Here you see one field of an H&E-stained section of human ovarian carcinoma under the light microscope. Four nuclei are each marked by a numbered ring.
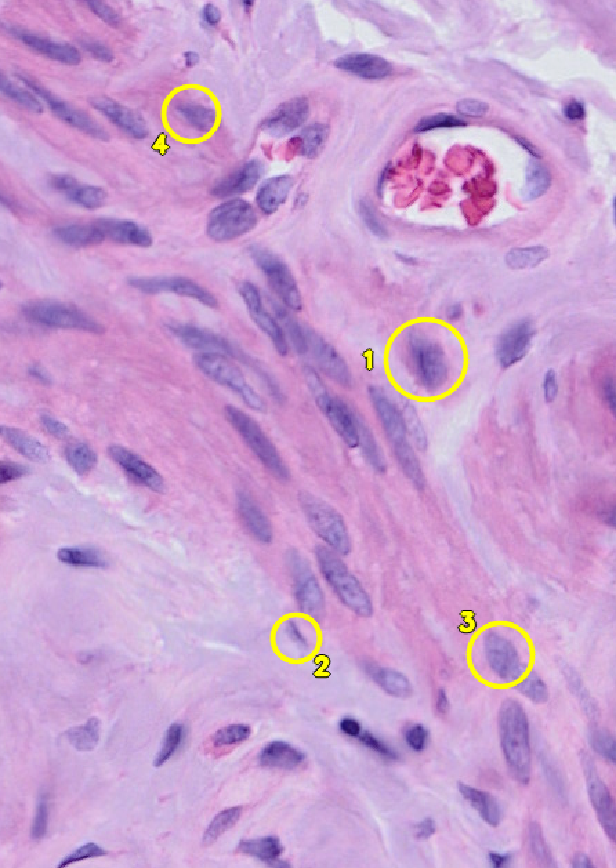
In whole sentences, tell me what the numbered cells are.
Cell 1 is a smooth muscle cell, cell 2 is a fibroblast, cell 3 is a smooth muscle cell and cell 4 is a smooth muscle cell.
